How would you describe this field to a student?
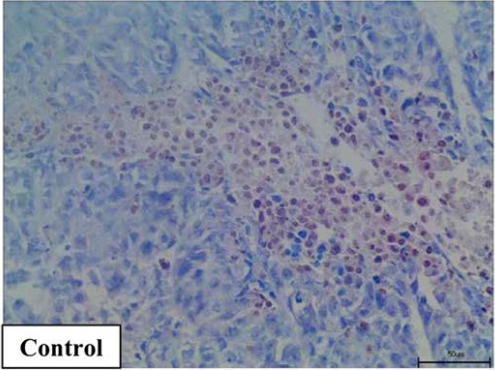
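Densely packed tumor cells fill the field in irregular sheets. There are no glands, layers or other normal tissue architecture. The cells have large oval to round nuclei with little cytoplasm between them. Most nuclei take the blue counterstain, but a broad band running across the middle of the field holds many nuclei stained reddish-purple to brown. In that band the stained nuclei lie crowded together, while the cells toward the edges stay mostly blue. Thin pale strands of stroma run between the cell sheets.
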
